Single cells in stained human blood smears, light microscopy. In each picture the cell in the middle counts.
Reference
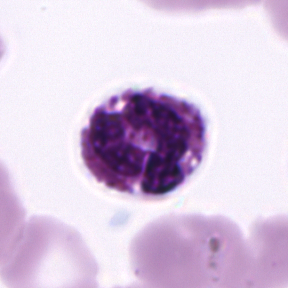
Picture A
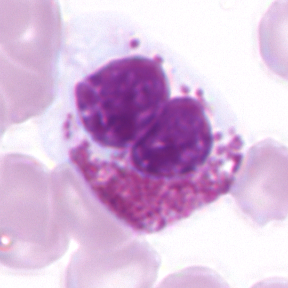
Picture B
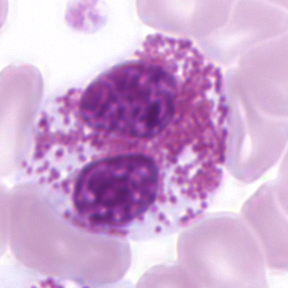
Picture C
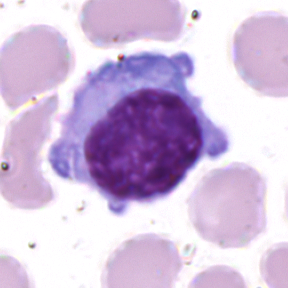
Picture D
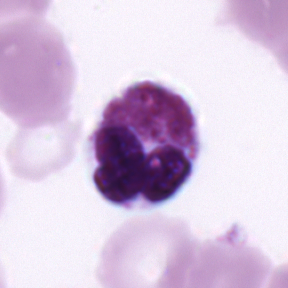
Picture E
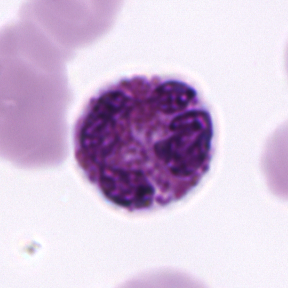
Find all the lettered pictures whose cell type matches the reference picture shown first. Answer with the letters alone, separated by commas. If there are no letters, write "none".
A, B, D, E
